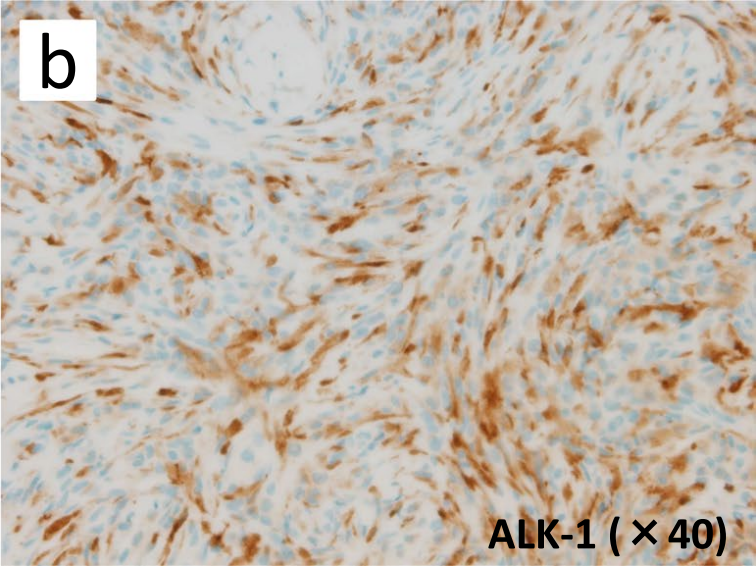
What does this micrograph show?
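Spindle-cell lesion with many cells showing brown cytoplasmic staining against a blue nuclear counterstain. Stained cells are elongated, often with tapering processes, and follow streaming, whorled fascicles across the field. Staining is uneven in intensity, strong in some cells and faint or absent in others whose oval blue nuclei lie in pale stroma. Pale unstained areas of loose matrix lie between the cell streams, and a rounded pale space appears near the upper edge.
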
